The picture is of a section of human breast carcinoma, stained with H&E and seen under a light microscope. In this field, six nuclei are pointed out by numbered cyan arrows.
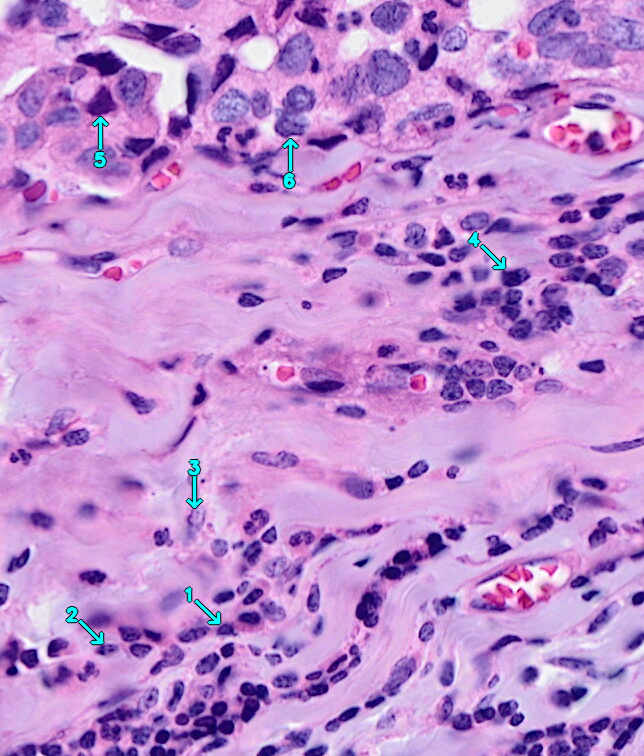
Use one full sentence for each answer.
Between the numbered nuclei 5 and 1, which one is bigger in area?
Nucleus 5 is larger, with an area about 2.5 times that of nucleus 1.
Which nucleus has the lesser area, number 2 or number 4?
With nucleus 4 about 2.5 times its size, nucleus 2 is the smaller of the two.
